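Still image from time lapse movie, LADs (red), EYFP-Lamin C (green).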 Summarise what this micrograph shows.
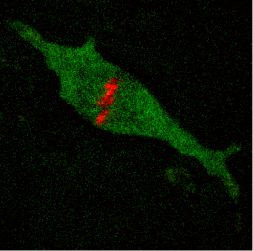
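A single elongated cell with long tapering extensions is seen in mitosis. Green fills the cytoplasm evenly with no nuclear rim, while red chromatin lies condensed as a compact band near the cell centre.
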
